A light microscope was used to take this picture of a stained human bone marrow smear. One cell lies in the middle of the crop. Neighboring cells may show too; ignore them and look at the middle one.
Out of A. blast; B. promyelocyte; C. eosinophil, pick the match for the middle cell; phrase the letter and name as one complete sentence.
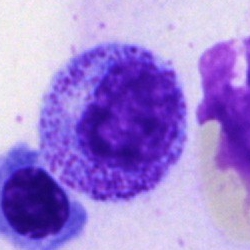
The cell at the centre, correctly named in option B, is a promyelocyte.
